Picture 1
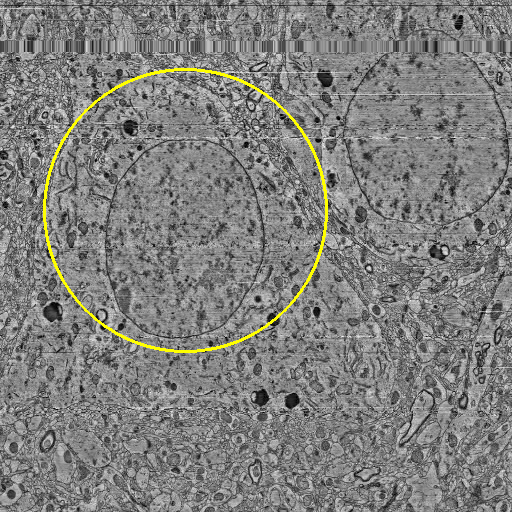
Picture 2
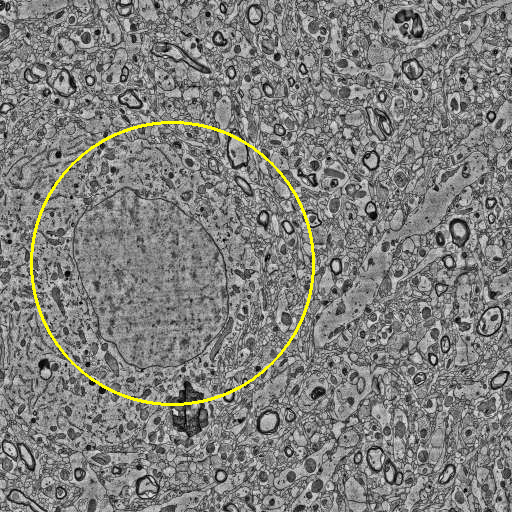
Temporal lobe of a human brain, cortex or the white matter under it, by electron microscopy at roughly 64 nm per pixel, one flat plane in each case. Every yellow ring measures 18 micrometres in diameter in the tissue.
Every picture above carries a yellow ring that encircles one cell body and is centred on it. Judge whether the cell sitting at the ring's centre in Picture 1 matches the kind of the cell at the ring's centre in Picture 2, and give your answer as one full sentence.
Yes, the cells centred in the rings of Pictures 1 and 2 belong to one kind.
